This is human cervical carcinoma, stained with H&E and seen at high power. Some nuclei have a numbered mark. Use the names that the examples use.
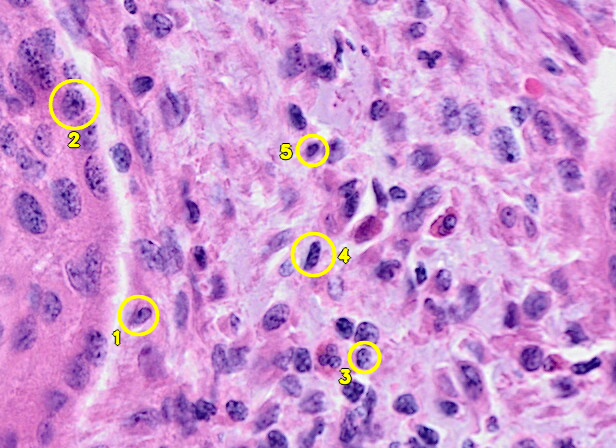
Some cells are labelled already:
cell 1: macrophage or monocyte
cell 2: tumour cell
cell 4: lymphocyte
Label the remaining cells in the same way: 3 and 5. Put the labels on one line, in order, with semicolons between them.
lymphocyte; lymphocyte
